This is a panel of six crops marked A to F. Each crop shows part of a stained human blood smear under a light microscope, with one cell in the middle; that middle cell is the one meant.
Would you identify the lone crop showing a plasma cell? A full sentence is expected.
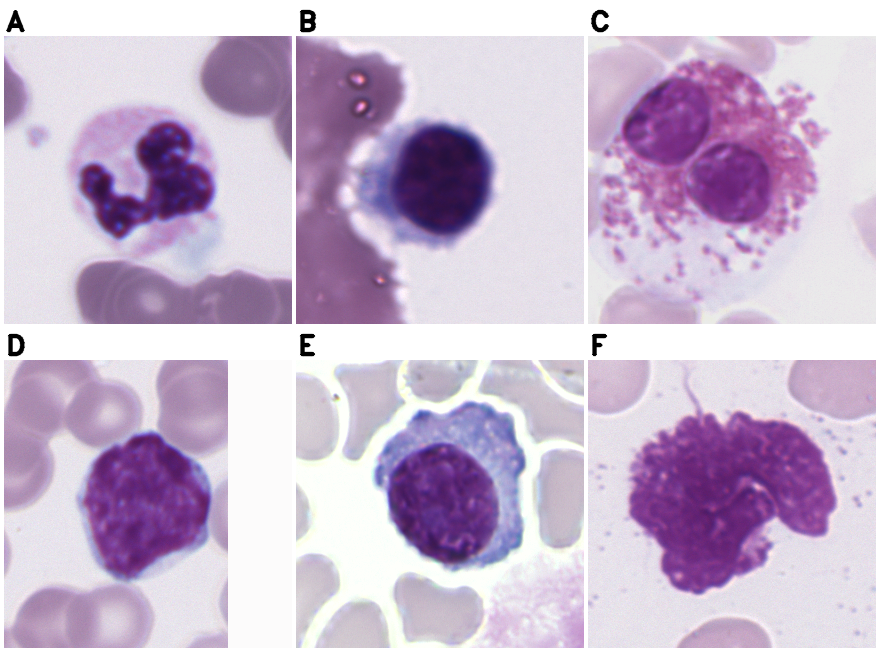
The one showing a plasma cell is the crop labelled E.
